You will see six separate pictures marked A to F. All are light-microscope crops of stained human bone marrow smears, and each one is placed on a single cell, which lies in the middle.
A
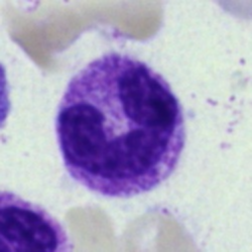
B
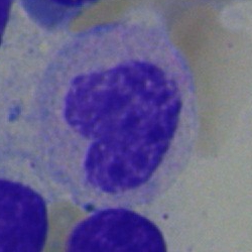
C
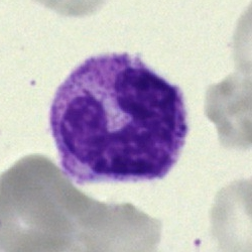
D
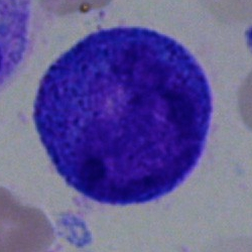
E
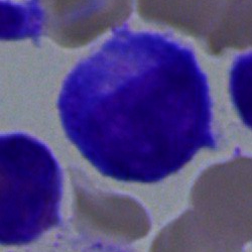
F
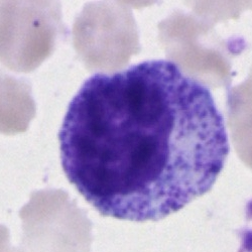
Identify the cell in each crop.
A: band neutrophil
B: band neutrophil
C: band neutrophil
D: promyelocyte
E: promyelocyte
F: promyelocyte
